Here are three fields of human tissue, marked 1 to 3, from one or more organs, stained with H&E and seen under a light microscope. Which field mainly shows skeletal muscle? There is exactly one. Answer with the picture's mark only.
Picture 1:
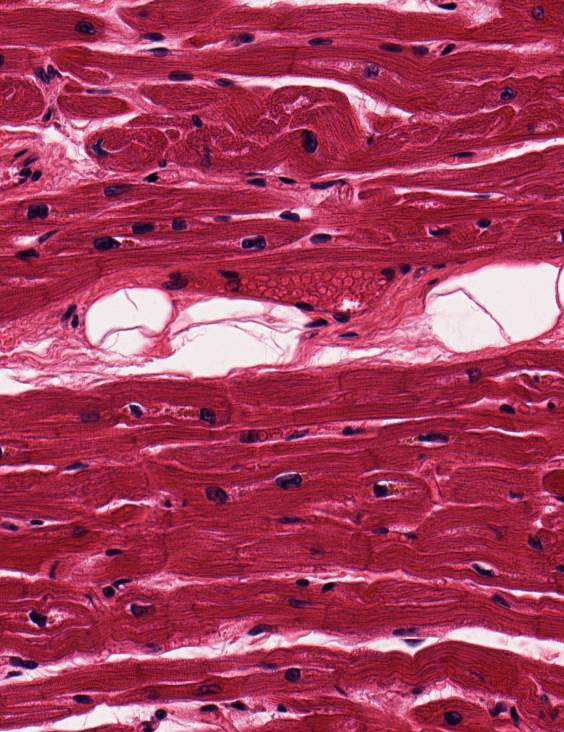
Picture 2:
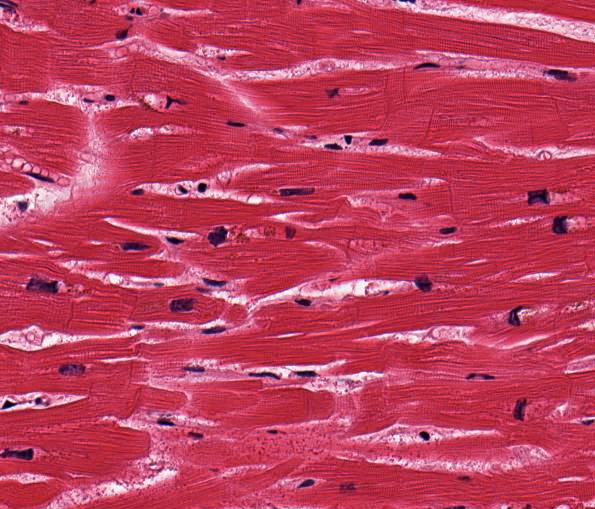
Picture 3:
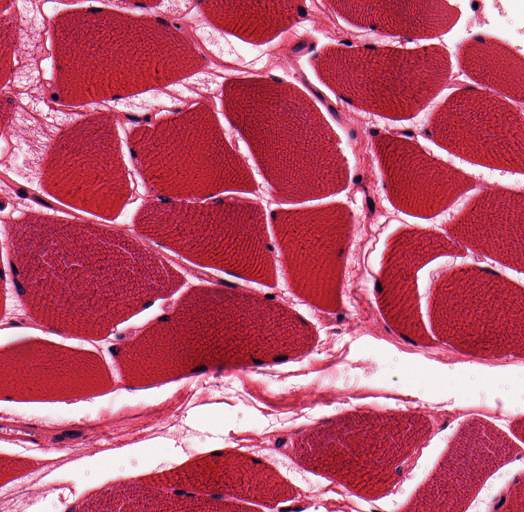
3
